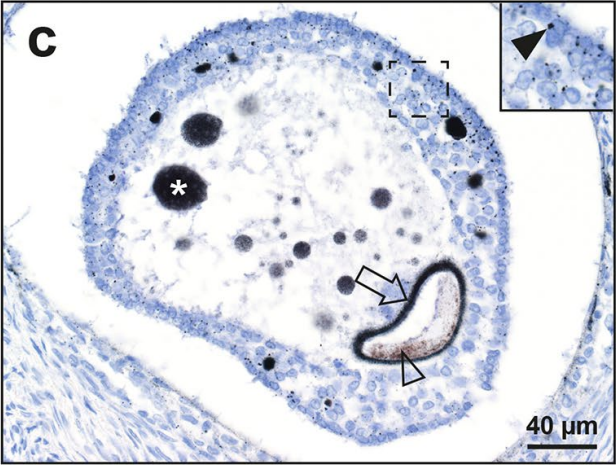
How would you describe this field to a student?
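This is an ovarian follicle with a large fluid-filled antrum lined by several layers of small granulosa cells with round blue nuclei. Within the antrum lie many round profiles of varying size, some intensely black and others grey. An elongated profile of the ovum sits near the lower right of the cavity, outlined by a thick dark band of the zona pellucida with a faintly granular cytoplasm inside. Spindle-shaped stromal cells surround the follicle outside a clear space.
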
